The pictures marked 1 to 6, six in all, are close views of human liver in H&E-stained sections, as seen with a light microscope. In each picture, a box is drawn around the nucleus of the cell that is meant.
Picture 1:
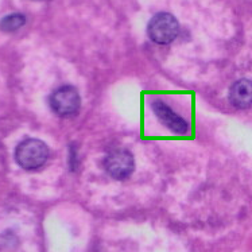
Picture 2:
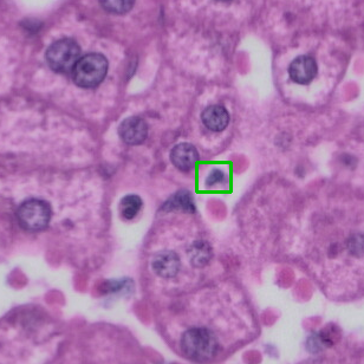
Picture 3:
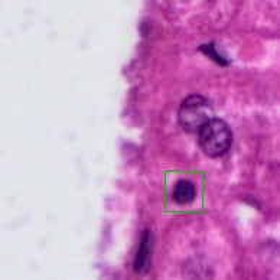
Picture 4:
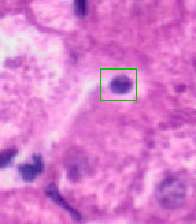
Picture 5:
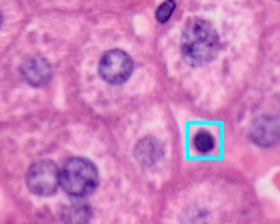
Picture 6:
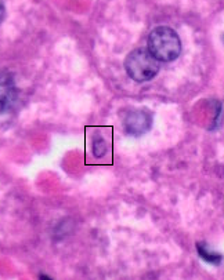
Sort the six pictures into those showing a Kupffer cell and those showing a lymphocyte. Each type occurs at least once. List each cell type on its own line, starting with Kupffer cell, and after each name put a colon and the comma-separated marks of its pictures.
Kupffer cell: 1, 6
lymphocyte: 2, 3, 4, 5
